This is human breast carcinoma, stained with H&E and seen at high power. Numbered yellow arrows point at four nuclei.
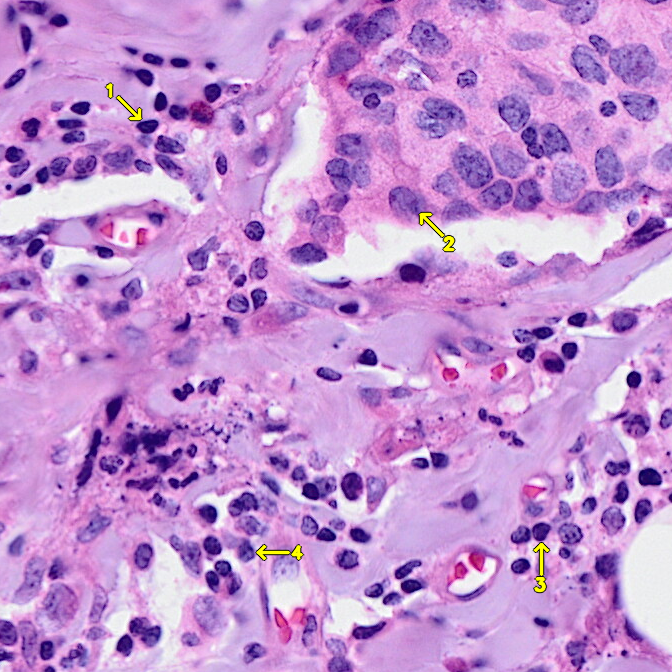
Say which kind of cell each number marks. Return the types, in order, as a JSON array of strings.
["lymphocyte", "carcinoma cell", "lymphocyte", "lymphocyte"]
